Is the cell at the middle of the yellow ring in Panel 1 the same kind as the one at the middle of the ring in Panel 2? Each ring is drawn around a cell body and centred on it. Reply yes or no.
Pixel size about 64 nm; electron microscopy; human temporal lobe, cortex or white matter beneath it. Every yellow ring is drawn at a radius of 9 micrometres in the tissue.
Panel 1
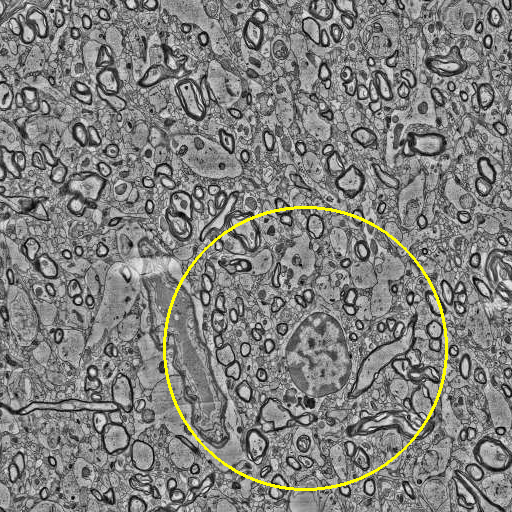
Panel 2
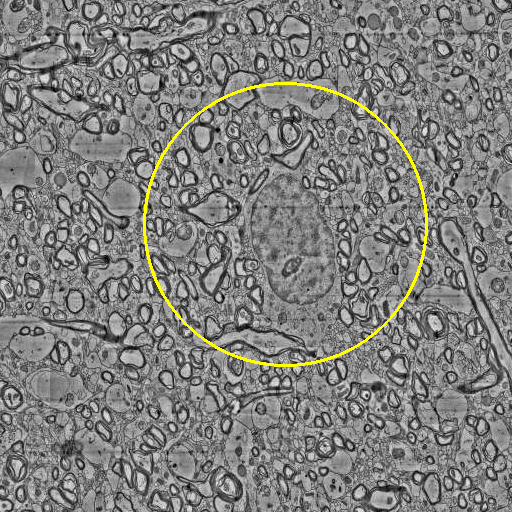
no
